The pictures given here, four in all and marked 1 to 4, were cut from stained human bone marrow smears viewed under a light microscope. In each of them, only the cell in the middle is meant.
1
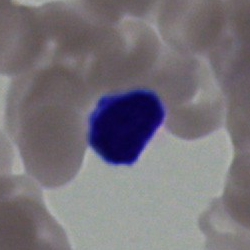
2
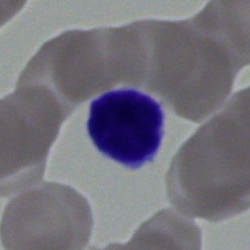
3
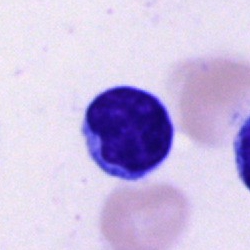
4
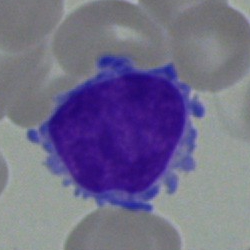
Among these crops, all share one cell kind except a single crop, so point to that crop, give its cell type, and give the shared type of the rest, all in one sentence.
What sets crop 4 apart is that it shows a blast, while the others show lymphocytes.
